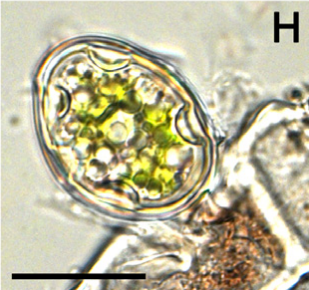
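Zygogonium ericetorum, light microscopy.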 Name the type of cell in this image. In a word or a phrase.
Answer: Zygospore.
